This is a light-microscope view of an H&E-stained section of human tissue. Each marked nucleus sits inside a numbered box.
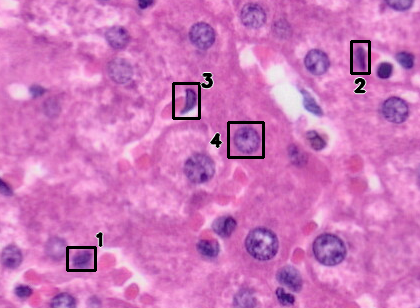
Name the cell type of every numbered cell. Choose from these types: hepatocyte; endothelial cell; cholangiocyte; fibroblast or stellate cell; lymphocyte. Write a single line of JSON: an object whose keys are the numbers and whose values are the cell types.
{"1": "fibroblast or stellate cell", "2": "endothelial cell", "3": "endothelial cell", "4": "hepatocyte"}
